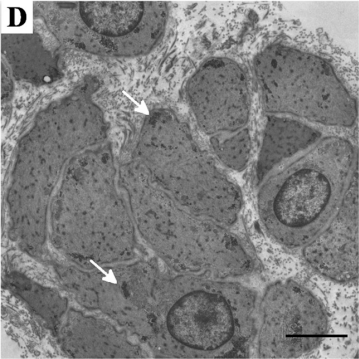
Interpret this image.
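Smooth muscle cells are seen cut in cross-section, with irregular, polygonal to rounded profiles packed closely together. Their cytoplasm is evenly grey and dotted with small dark dense bodies, and some cells show a central oval nucleus with chromatin condensed along the nuclear envelope. Small dark granular deposits lie within some cells. Between the cells runs a pale extracellular space containing fine fibrils.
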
